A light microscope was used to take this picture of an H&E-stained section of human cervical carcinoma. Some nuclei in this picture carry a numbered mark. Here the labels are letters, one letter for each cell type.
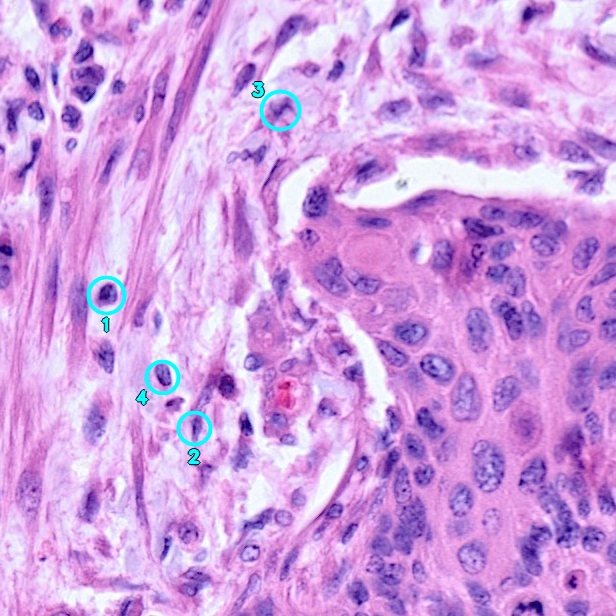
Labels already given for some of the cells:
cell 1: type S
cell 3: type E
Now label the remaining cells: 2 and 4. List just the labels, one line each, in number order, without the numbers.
type E
type S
